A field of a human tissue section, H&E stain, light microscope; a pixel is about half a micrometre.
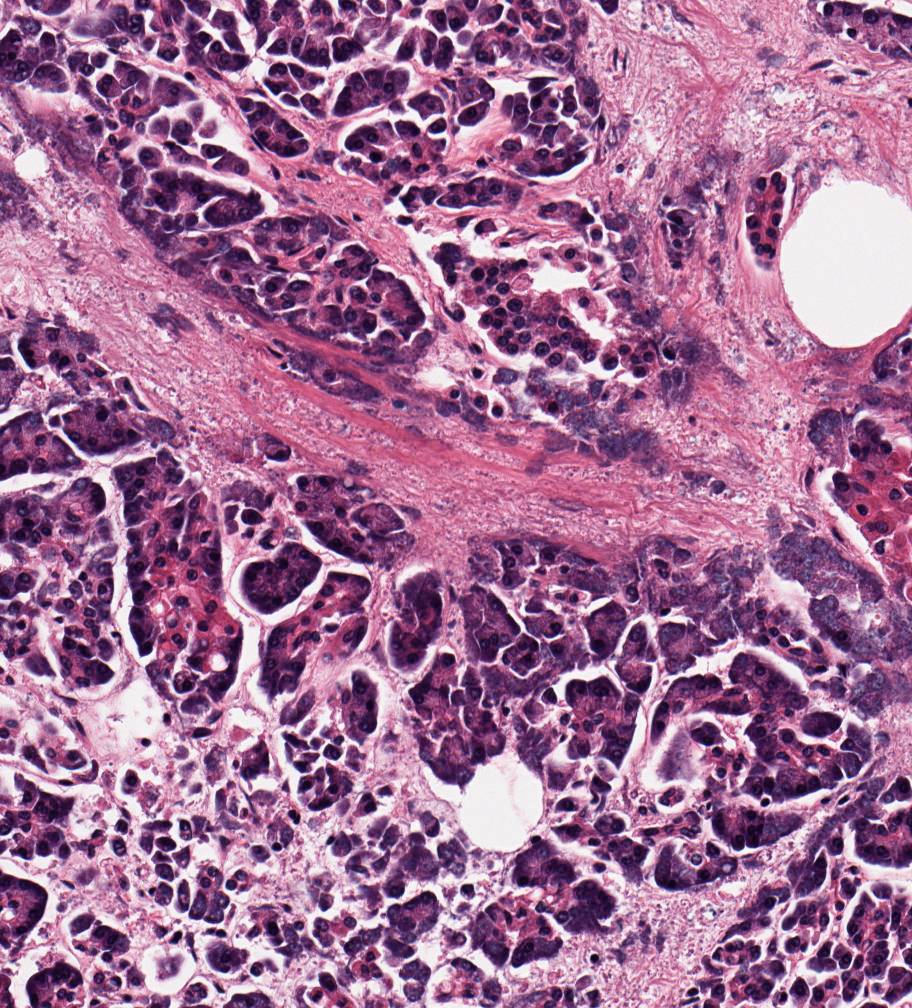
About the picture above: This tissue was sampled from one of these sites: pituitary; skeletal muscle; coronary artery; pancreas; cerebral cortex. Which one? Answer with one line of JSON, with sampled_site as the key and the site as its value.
{"sampled_site": "pancreas"}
